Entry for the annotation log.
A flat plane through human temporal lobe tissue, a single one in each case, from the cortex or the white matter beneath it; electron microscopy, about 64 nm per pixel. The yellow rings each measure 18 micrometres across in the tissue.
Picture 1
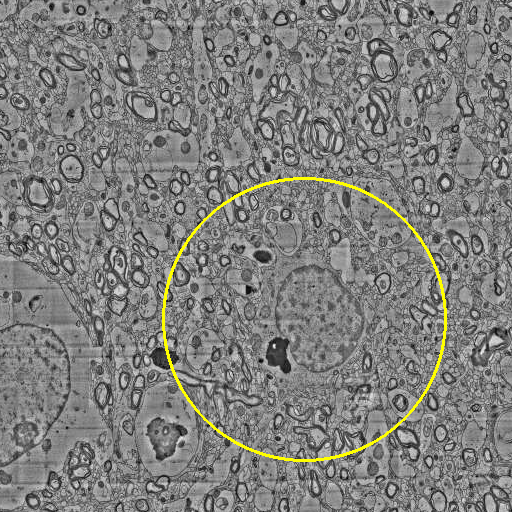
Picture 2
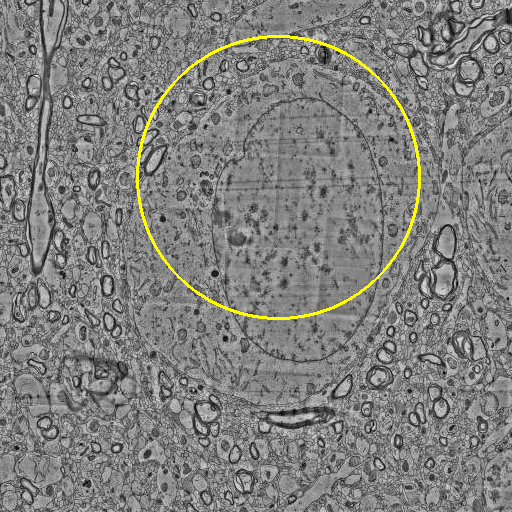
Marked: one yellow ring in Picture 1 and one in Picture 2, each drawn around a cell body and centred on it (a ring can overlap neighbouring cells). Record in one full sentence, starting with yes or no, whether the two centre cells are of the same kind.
No, the two cells are of two kinds.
